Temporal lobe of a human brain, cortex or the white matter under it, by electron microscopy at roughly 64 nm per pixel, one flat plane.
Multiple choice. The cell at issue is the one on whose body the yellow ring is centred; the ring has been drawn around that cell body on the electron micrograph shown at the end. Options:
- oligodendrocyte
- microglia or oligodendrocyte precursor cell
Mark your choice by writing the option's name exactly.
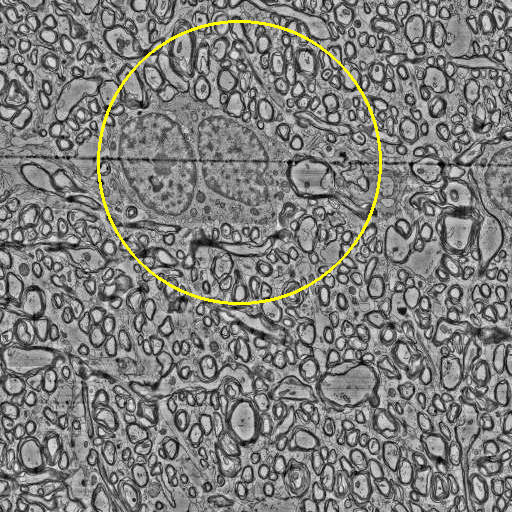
oligodendrocyte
